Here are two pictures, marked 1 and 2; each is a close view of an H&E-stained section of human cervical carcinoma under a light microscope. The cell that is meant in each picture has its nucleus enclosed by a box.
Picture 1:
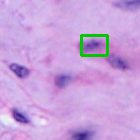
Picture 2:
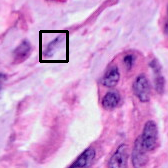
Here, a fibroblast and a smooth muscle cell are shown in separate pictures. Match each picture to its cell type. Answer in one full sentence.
Picture 1 shows a smooth muscle cell and picture 2 shows a fibroblast.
